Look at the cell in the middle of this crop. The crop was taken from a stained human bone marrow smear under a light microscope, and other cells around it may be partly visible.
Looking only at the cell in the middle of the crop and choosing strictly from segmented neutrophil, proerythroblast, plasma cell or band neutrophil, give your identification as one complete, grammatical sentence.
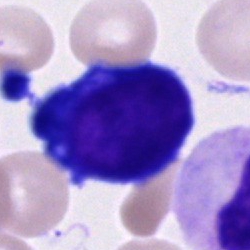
As for the central cell, it is a proerythroblast.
